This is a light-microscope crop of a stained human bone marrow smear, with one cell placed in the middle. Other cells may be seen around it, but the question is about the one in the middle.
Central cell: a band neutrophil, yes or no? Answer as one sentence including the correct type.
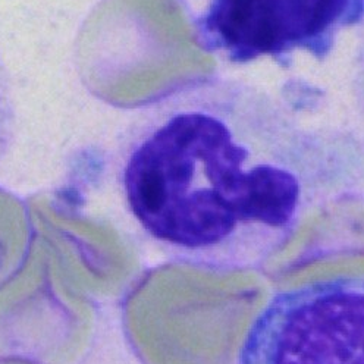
No, the central cell is a segmented neutrophil, not a band neutrophil.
